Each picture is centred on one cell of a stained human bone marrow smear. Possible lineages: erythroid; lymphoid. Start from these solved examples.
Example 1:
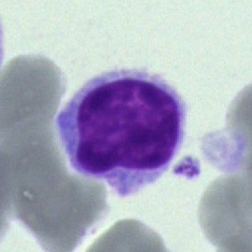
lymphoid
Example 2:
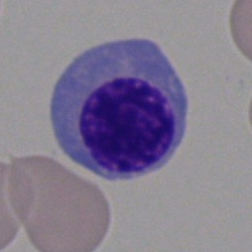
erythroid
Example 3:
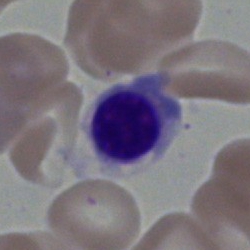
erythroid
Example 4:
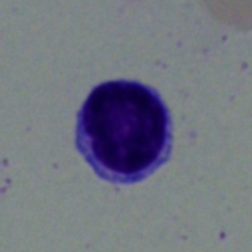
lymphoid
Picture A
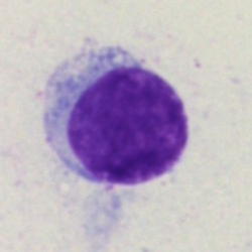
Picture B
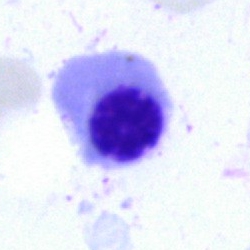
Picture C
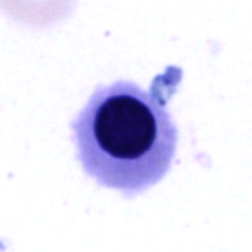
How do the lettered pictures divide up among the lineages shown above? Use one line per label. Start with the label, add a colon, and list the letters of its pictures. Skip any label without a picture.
erythroid: B, C
lymphoid: A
